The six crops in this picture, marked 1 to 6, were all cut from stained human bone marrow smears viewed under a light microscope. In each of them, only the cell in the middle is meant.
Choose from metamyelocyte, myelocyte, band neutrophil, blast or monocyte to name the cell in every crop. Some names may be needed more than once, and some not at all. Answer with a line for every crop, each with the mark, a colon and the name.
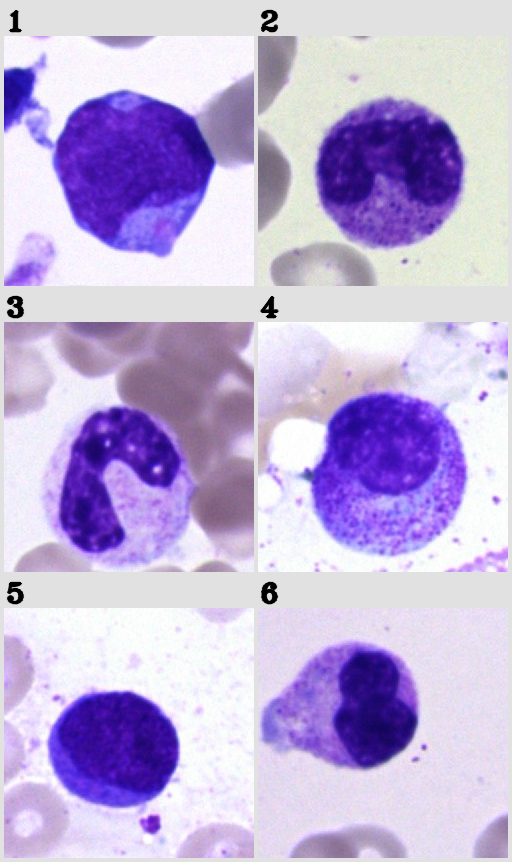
1: blast
2: band neutrophil
3: band neutrophil
4: myelocyte
5: blast
6: metamyelocyte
